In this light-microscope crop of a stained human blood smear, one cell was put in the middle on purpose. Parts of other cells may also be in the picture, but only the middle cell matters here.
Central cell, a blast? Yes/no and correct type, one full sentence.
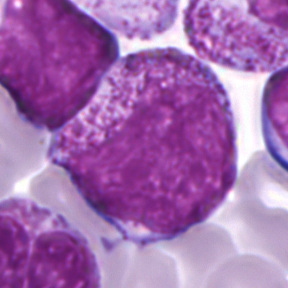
No, mark the middle cell as a promyelocyte, not a blast.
